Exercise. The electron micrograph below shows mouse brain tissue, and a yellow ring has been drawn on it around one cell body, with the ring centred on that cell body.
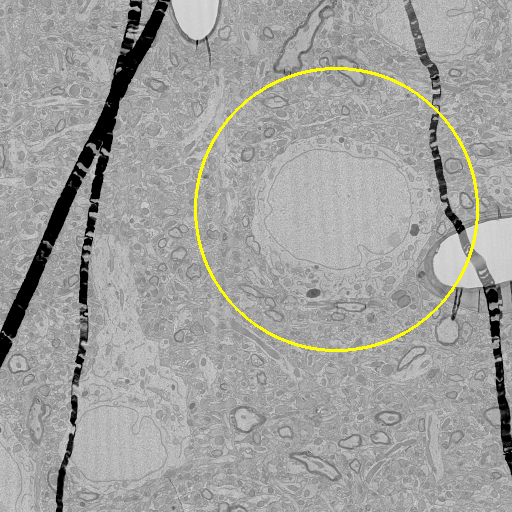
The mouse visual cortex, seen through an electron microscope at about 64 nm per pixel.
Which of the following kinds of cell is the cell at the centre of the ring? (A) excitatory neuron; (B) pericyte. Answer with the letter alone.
A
